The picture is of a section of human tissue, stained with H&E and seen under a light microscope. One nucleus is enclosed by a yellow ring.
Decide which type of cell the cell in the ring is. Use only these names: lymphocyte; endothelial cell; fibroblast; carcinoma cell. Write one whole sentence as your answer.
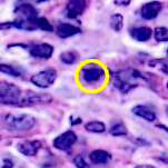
This is a lymphocyte.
